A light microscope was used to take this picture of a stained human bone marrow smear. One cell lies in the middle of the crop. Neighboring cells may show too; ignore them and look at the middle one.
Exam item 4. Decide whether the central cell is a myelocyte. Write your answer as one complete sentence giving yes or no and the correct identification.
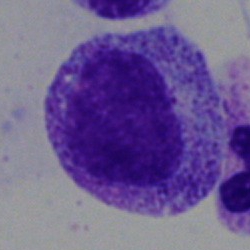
Yes, the cell at the heart of the crop is a myelocyte.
